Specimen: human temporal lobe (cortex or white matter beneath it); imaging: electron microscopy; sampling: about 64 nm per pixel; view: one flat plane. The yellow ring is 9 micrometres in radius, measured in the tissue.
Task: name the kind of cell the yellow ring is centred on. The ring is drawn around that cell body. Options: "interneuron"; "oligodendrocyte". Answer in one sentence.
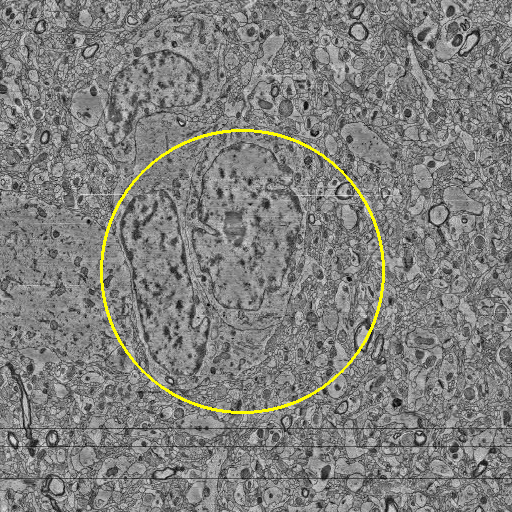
This cell body belongs to an interneuron.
